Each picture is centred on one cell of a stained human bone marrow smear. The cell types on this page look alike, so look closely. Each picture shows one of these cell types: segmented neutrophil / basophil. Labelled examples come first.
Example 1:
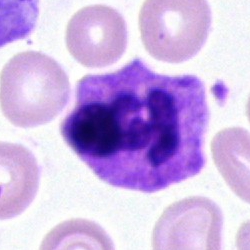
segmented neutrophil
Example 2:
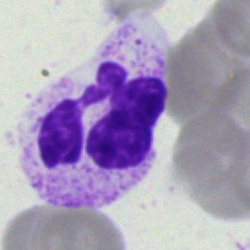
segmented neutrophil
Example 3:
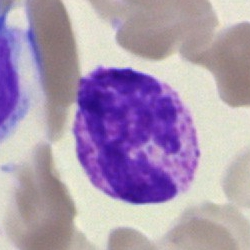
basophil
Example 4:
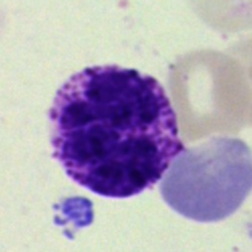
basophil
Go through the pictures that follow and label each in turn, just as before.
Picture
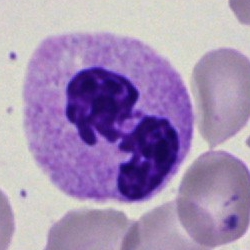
segmented neutrophil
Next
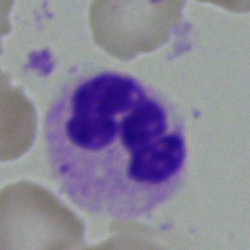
segmented neutrophil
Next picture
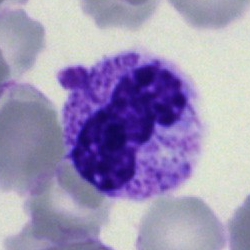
segmented neutrophil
